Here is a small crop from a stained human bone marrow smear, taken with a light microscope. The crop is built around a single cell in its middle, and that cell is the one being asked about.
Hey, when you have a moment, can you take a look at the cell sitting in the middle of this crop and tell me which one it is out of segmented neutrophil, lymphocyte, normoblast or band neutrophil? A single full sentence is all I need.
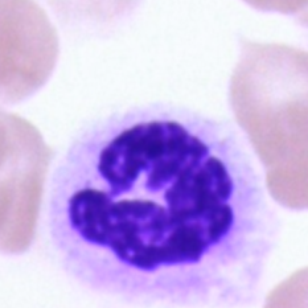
In this crop, the cell at the very middle is a segmented neutrophil.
